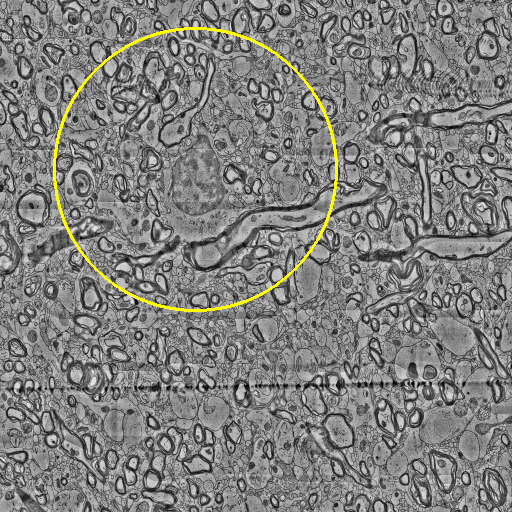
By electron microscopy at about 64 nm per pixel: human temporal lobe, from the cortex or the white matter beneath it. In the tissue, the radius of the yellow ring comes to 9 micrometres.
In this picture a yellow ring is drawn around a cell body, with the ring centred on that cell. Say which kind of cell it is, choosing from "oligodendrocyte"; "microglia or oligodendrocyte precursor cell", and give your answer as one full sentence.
Here it is an oligodendrocyte that sits at the centre of the drawn yellow ring.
